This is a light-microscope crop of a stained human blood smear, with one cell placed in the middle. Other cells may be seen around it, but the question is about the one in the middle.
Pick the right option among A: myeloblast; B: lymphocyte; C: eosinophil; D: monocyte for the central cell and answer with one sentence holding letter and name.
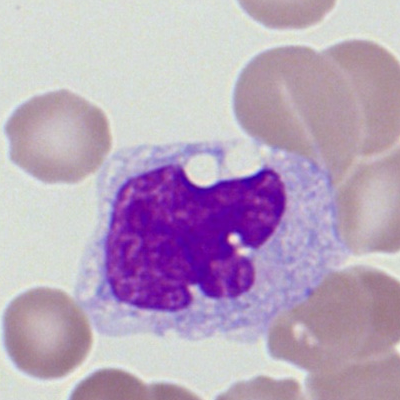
The expected answer is option D, the central cell being a monocyte.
